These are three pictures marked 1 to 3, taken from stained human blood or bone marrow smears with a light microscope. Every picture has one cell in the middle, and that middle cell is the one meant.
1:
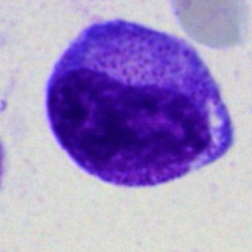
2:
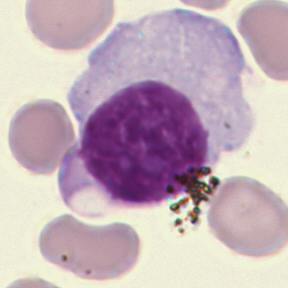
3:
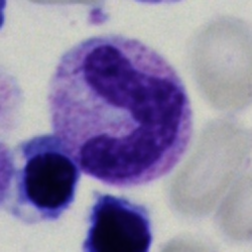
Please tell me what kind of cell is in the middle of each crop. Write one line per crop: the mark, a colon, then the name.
1: myelocyte
2: plasma cell
3: band neutrophil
